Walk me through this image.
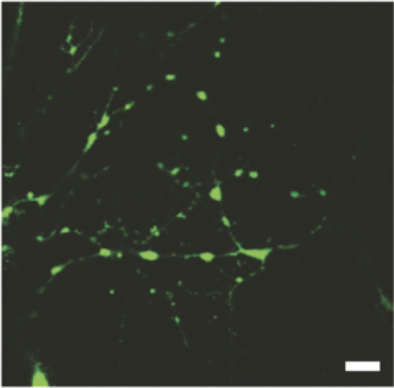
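Cultured neurons fluoresce green against a dark background, with a few elongated cell bodies and thin processes extending across the field. Along the processes lie many small, round, bright green swellings, giving them a beaded appearance.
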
